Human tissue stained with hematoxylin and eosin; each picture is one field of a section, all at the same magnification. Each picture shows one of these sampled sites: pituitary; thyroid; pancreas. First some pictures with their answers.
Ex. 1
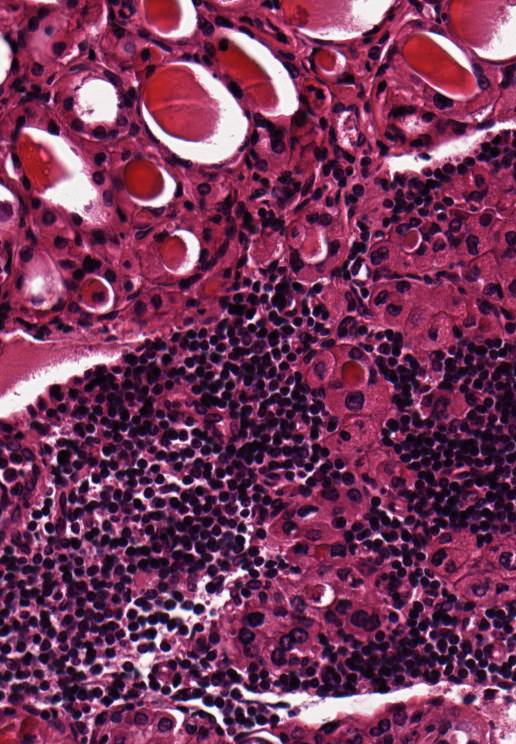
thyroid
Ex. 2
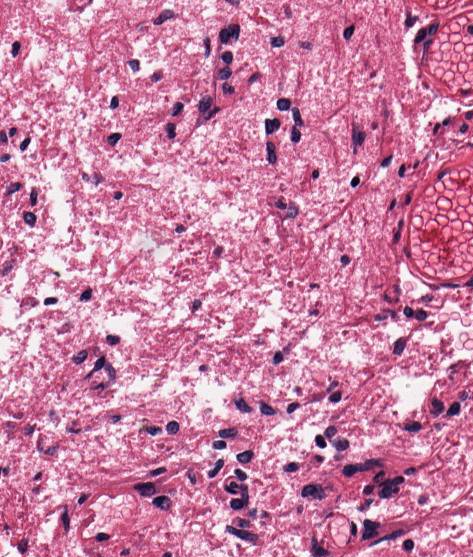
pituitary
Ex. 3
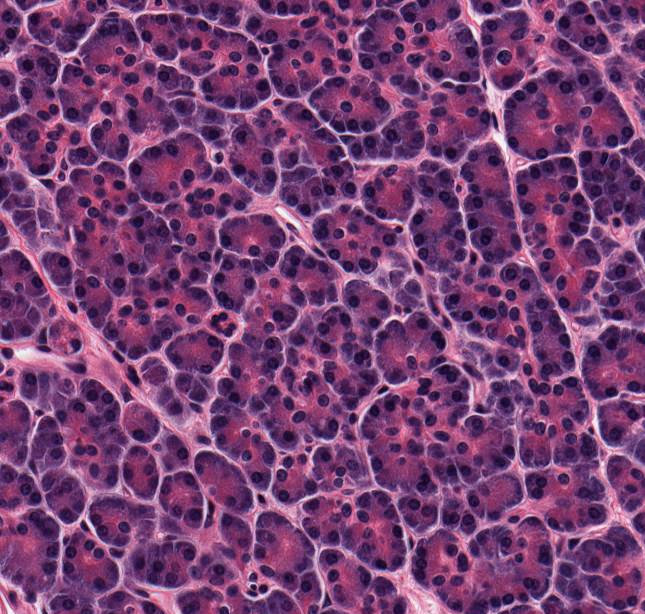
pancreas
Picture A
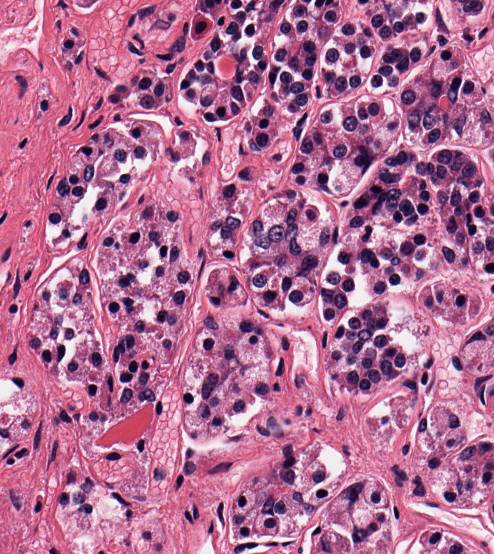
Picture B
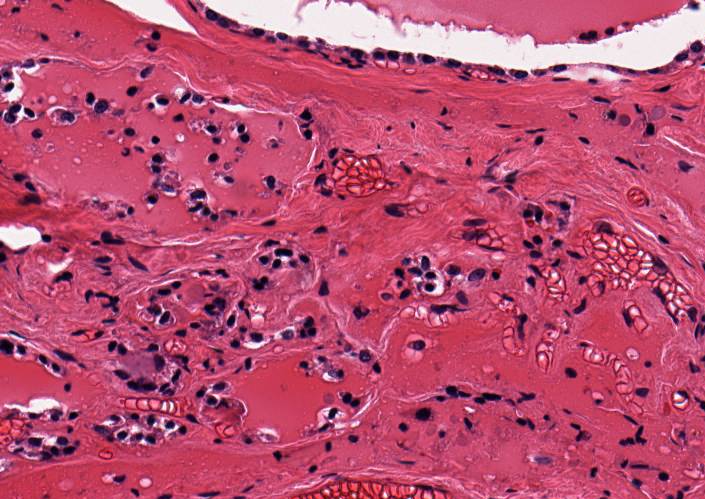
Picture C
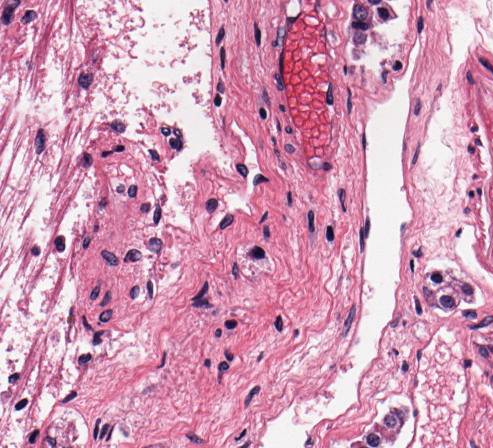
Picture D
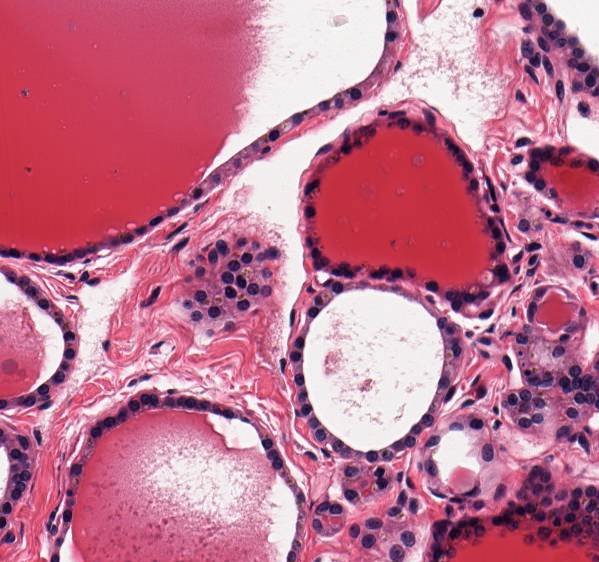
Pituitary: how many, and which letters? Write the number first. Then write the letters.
2, namely A, C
